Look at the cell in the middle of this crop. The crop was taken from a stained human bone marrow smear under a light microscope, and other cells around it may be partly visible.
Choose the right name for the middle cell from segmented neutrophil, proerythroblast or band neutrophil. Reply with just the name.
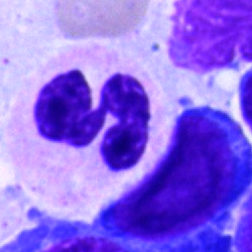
segmented neutrophil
